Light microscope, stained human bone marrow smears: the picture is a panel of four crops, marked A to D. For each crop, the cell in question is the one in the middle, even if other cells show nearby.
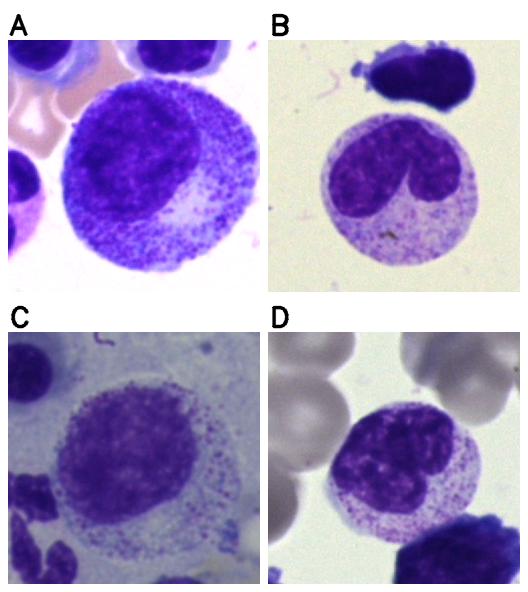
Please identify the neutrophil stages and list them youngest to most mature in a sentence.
Maturity increases along the sequence crop A (a promyelocyte), crop C (a myelocyte), crop D (a metamyelocyte) and crop B (a band neutrophil).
